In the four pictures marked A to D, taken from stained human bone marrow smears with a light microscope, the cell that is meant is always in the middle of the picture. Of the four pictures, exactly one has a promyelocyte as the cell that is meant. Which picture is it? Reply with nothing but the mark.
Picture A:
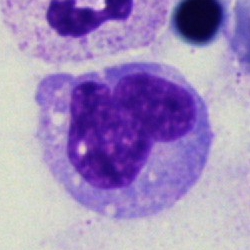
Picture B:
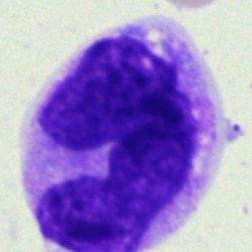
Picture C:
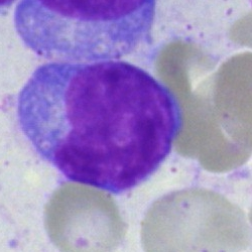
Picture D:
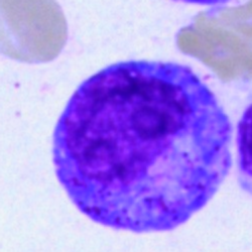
D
